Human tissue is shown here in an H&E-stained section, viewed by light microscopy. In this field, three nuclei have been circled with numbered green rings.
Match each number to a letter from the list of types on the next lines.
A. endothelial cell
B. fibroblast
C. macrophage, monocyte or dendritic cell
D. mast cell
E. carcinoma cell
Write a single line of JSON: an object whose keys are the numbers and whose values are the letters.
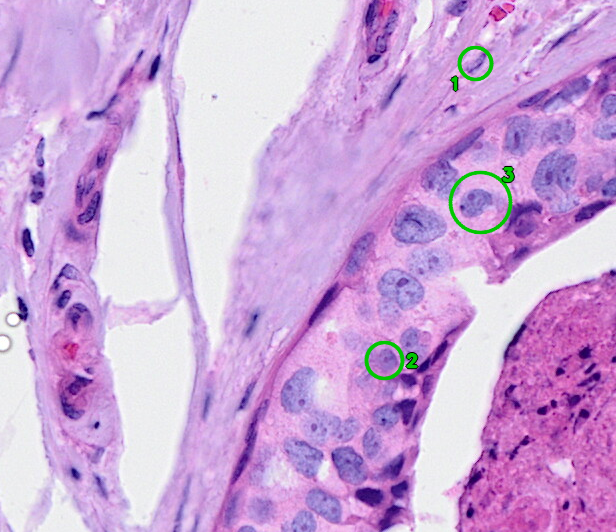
{"1": "B", "2": "E", "3": "E"}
